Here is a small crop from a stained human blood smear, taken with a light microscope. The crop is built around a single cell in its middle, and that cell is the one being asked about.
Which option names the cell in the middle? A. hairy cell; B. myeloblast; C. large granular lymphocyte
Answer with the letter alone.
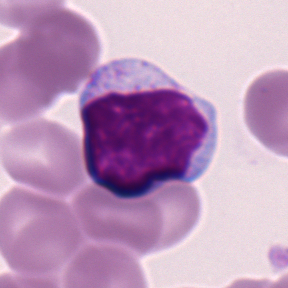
C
